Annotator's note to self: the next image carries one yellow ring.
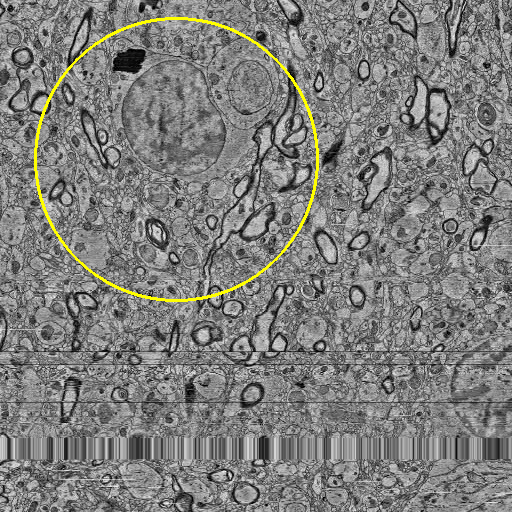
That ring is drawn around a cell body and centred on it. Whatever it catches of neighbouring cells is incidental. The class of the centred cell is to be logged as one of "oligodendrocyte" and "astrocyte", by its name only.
oligodendrocyte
